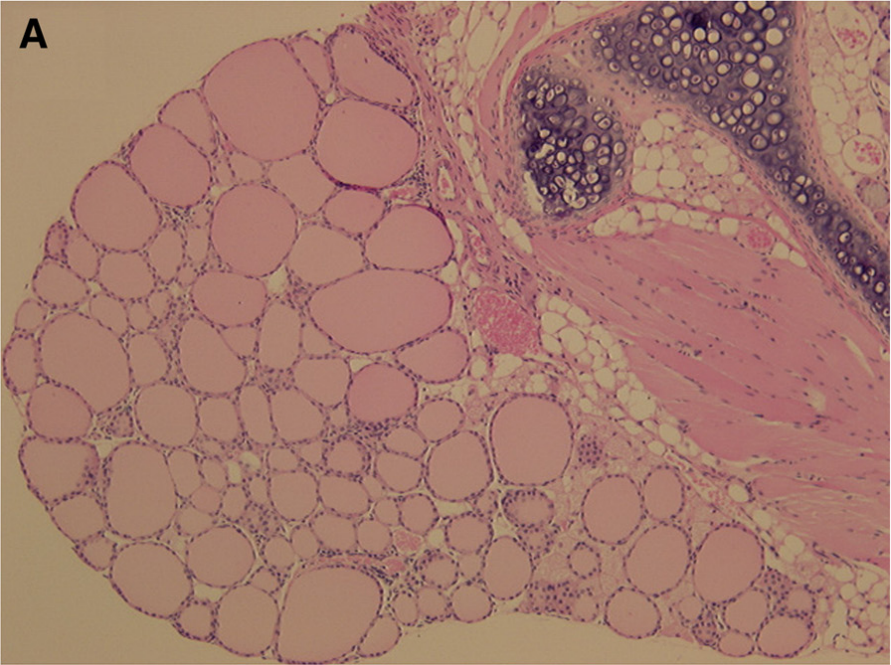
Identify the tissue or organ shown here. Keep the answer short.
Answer: Thyroid glands.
